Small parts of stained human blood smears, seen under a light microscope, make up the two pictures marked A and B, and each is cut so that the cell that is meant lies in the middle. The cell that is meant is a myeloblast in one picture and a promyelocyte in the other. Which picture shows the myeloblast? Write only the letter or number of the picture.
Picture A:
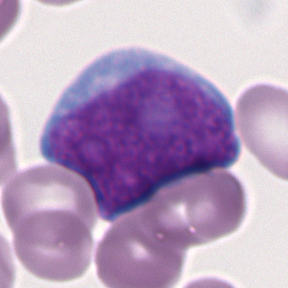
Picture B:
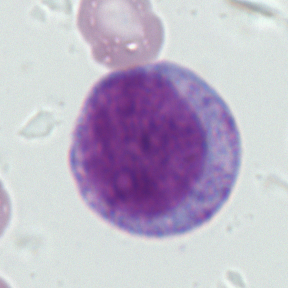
A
